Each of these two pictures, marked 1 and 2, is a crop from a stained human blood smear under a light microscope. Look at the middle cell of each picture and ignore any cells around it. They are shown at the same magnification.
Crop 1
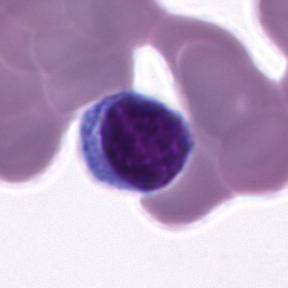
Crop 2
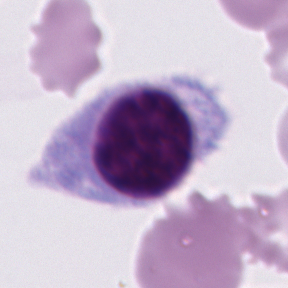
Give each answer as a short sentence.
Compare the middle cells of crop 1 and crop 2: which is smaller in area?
It is the cell in crop 1; the cell in crop 2 has about 2 times its area.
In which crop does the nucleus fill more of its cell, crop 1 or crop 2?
The nucleus fills more of the cell in crop 1 than in crop 2.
